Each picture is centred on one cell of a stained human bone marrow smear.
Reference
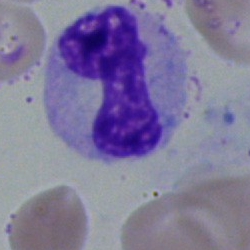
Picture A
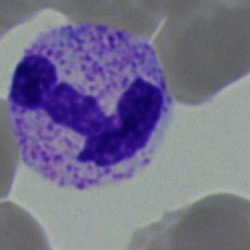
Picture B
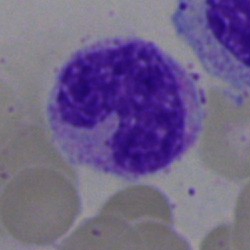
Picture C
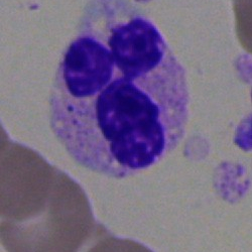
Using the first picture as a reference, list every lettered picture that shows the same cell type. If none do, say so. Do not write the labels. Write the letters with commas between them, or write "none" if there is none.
B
